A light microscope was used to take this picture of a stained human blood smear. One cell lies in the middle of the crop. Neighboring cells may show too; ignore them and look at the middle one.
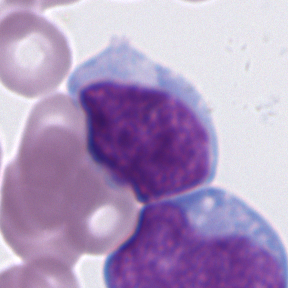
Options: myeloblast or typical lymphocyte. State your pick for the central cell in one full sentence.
The cell in the middle of this crop is a myeloblast.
